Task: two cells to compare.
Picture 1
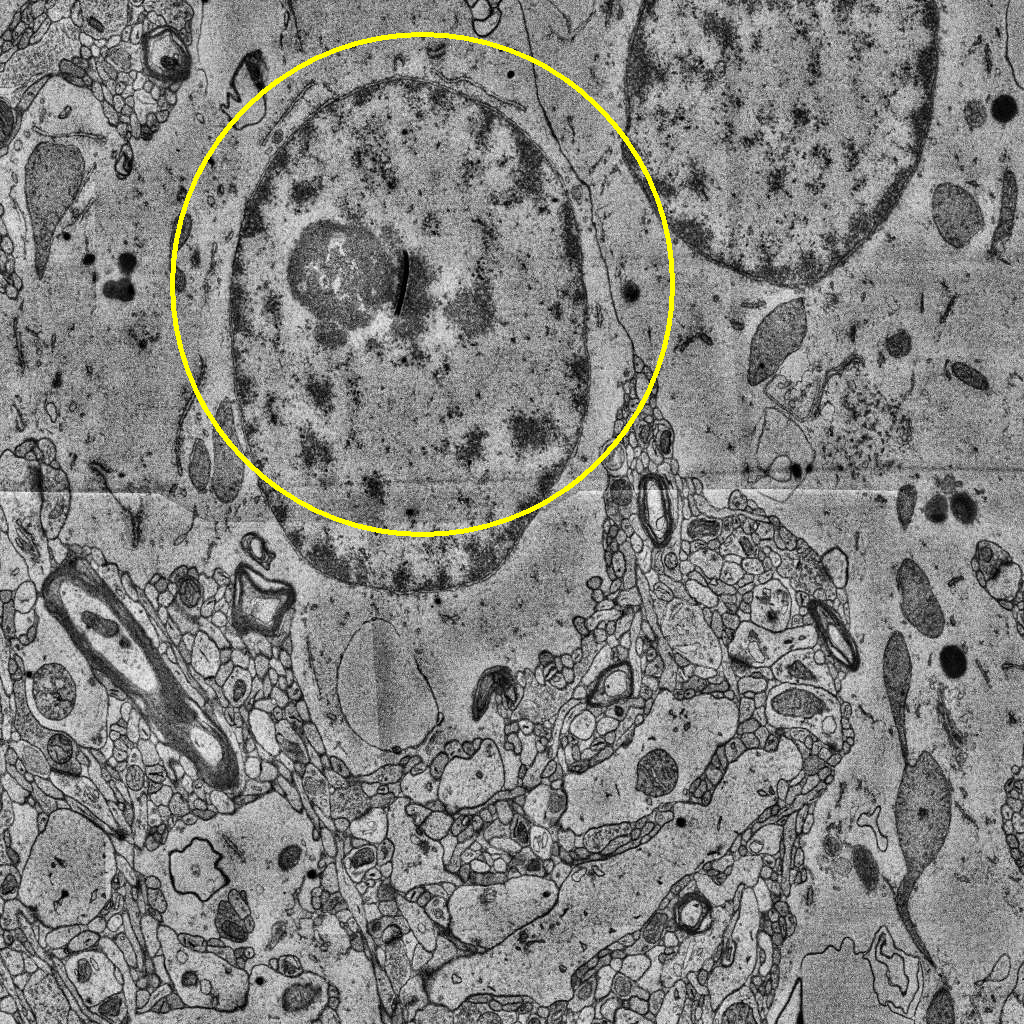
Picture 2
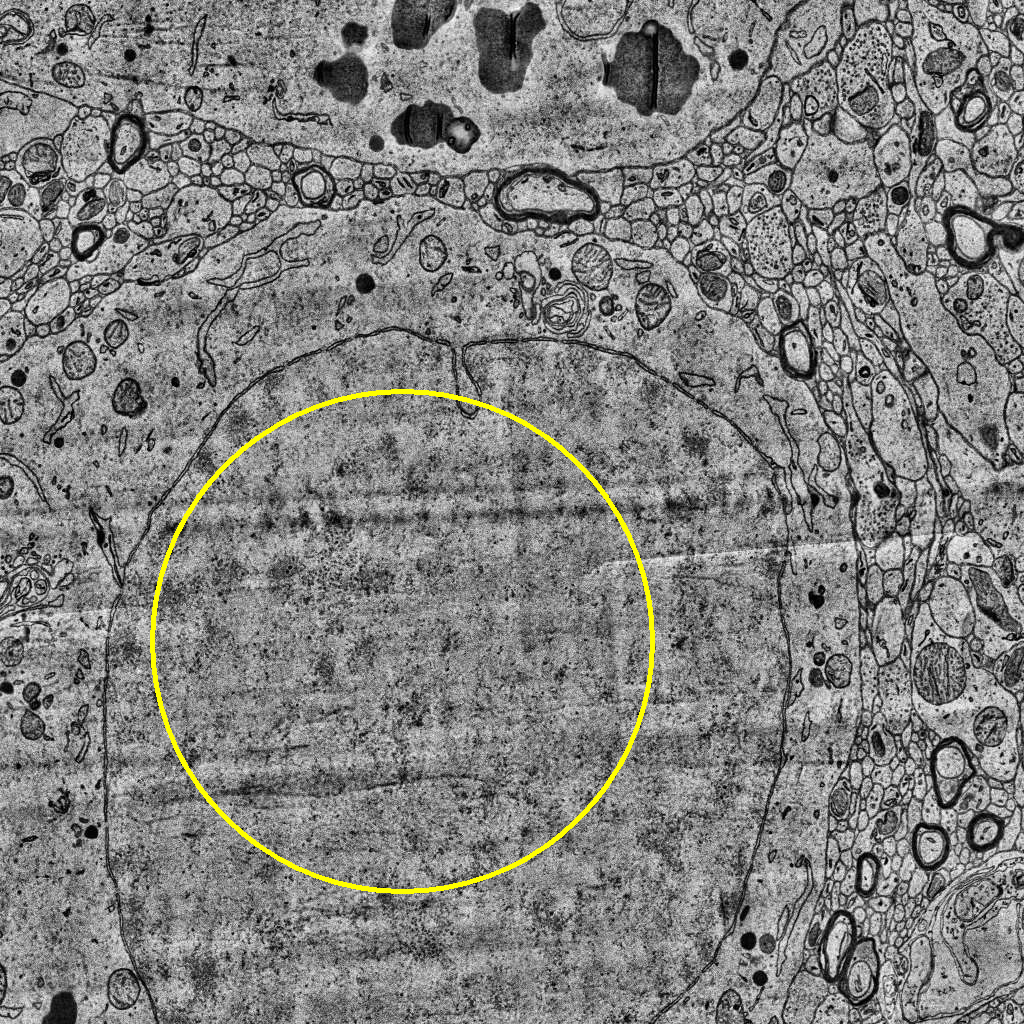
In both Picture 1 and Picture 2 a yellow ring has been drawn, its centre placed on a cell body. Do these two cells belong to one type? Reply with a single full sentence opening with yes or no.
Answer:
No, the two cells at the ring centres in Picture 1 and Picture 2 are of two types.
